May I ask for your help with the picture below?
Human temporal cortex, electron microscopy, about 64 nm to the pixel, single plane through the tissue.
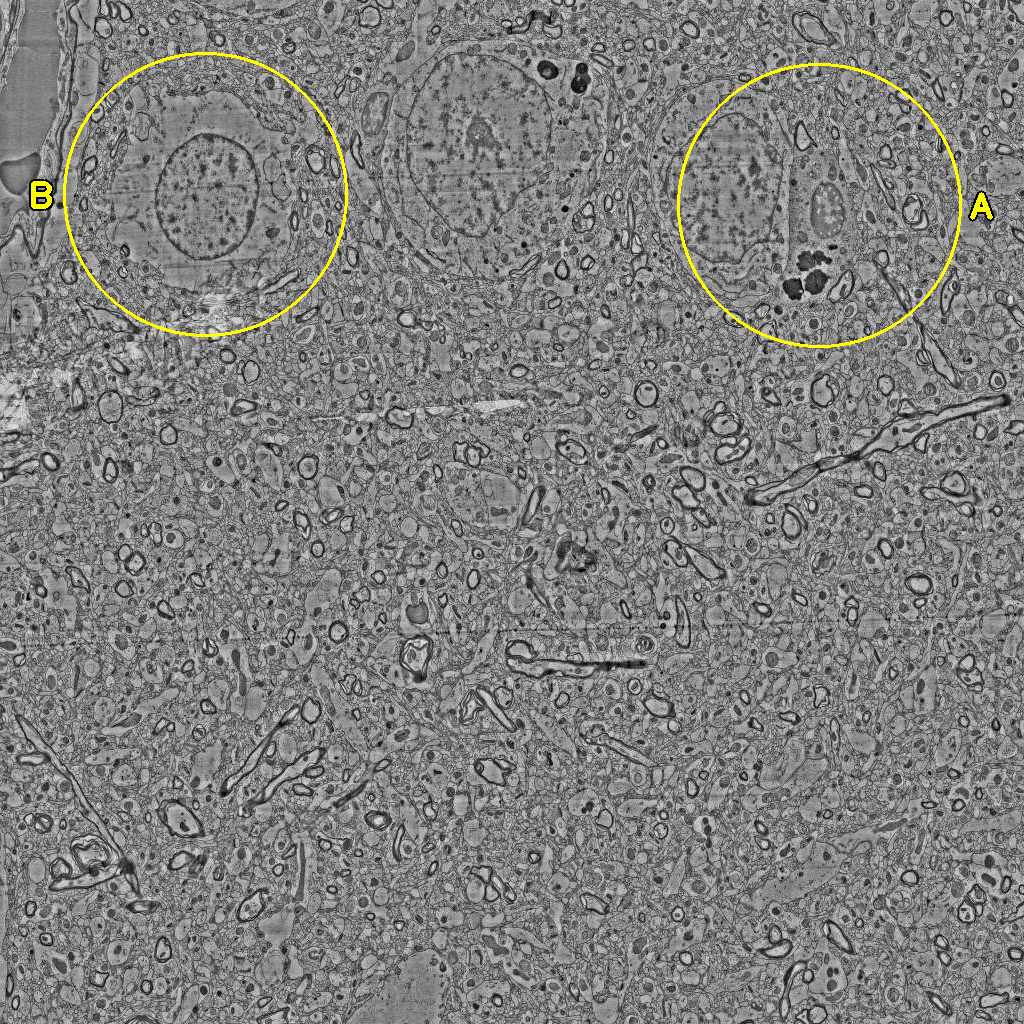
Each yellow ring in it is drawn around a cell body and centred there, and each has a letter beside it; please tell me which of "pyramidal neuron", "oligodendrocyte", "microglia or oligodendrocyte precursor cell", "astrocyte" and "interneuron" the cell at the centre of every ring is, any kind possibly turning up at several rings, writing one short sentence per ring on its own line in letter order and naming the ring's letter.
Ring A is drawn around the cell body of an oligodendrocyte.
Ring B is drawn around the cell body of an astrocyte.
